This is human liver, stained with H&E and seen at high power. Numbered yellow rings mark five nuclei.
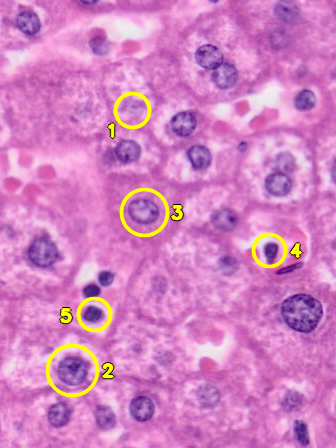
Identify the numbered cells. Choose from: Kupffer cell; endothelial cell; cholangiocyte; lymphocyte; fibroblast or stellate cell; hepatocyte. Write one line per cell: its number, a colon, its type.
1: hepatocyte
2: hepatocyte
3: hepatocyte
4: lymphocyte
5: lymphocyte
